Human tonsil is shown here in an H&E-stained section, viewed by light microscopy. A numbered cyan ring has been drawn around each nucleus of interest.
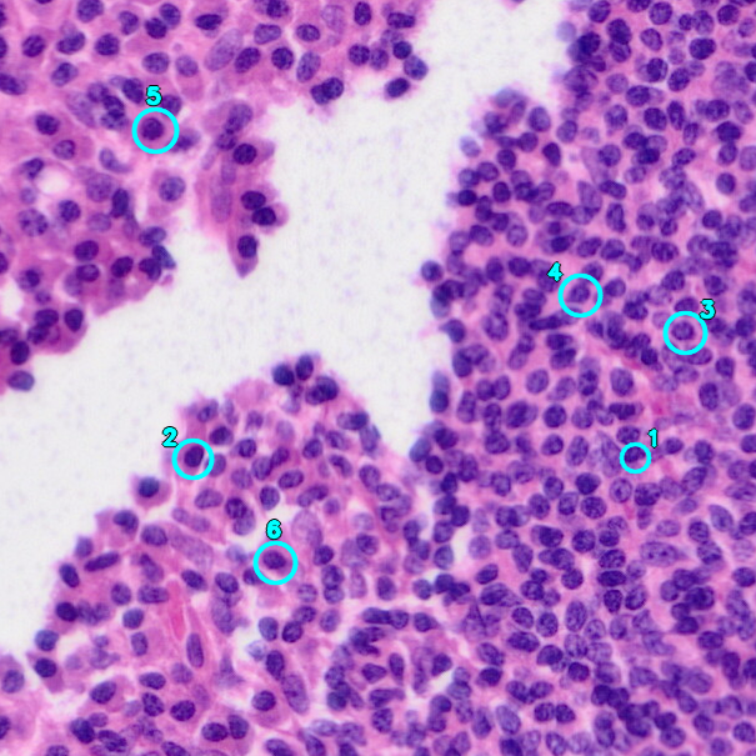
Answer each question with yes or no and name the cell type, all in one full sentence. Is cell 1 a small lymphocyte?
Yes, the cell tagged with number 1 is a small lymphocyte.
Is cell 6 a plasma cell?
Yes, cell 6 among the marked cells is a plasma cell.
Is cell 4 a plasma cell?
No, the cell at number 4 is a small lymphocyte instead of a plasma cell.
